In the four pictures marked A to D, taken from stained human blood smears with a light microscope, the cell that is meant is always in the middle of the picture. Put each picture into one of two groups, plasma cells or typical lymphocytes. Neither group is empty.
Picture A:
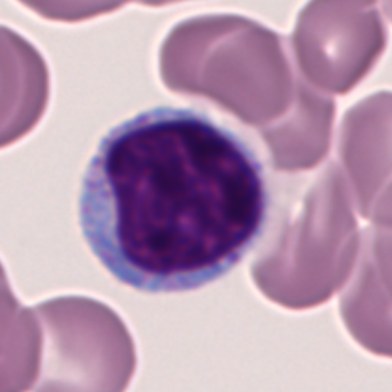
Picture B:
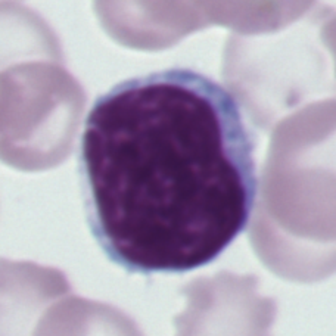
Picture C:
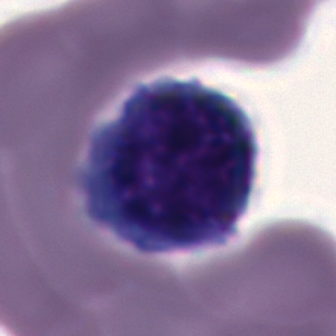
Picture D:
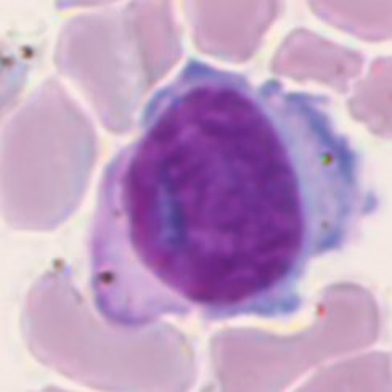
A: typical lymphocyte
B: typical lymphocyte
C: plasma cell
D: plasma cell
